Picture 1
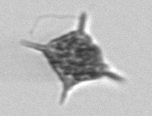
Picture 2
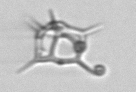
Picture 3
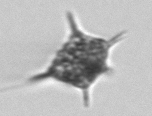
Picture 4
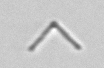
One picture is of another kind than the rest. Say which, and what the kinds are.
Picture 4 shows Nanoneis; the rest show silicoflagellates.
